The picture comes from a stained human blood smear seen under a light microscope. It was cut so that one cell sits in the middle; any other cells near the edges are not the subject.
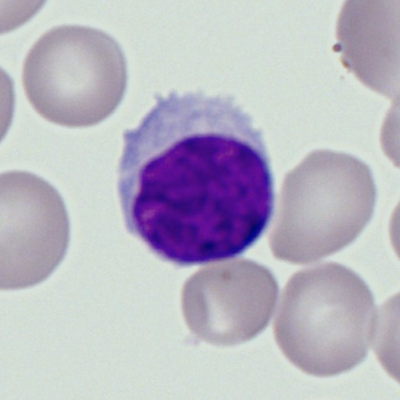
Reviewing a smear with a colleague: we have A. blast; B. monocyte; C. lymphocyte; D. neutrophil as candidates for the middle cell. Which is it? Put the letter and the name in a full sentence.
The cell placed in the middle is a lymphocyte; option C is correct.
